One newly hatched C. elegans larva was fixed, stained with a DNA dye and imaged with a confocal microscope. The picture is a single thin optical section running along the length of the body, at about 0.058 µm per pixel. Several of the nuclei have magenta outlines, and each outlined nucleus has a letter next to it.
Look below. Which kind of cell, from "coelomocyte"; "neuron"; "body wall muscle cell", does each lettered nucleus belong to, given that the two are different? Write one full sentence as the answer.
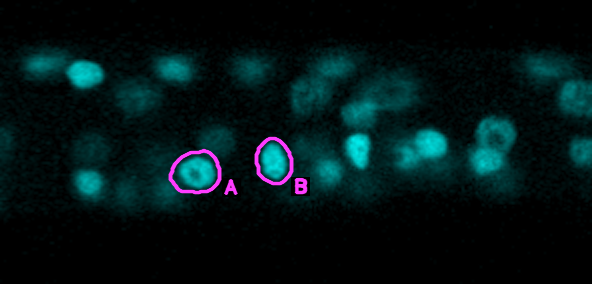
A is in a body wall muscle cell and B is in a coelomocyte.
